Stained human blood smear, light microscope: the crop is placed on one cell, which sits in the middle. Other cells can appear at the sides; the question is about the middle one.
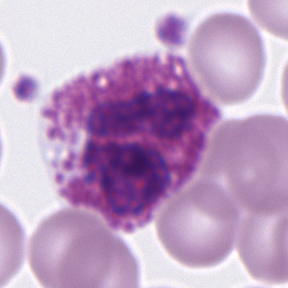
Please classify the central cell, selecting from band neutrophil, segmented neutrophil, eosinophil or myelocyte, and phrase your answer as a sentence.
Located at the centre of the crop is an eosinophil.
